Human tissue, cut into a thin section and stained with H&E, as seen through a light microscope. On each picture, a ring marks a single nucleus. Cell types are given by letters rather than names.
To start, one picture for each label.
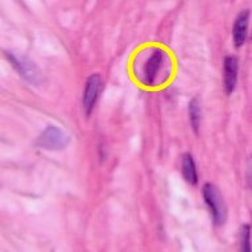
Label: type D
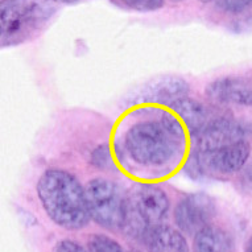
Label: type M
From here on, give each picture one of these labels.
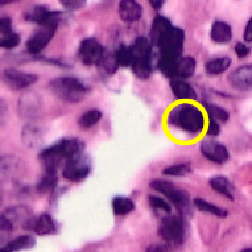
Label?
type M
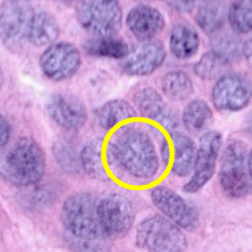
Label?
type M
